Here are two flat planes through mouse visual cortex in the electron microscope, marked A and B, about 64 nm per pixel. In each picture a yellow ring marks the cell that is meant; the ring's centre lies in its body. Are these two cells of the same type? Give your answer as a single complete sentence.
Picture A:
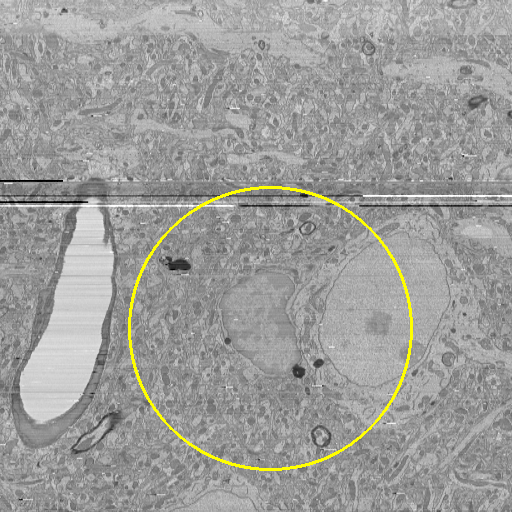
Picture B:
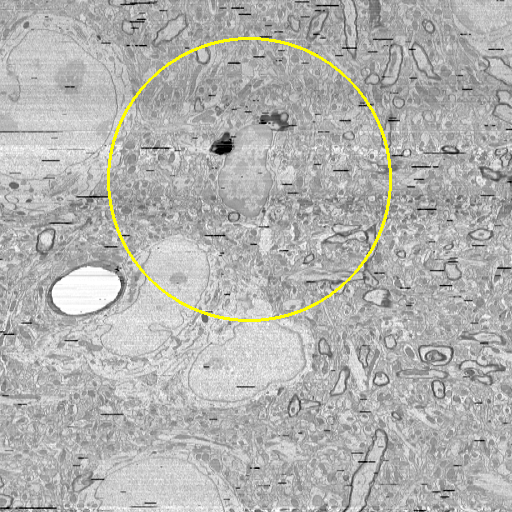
Yes, they are the same type: both are microglial cells.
